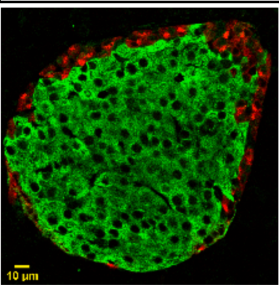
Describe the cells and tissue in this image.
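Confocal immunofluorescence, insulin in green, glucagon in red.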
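A rounded cluster of endocrine cells in a section of pancreas fills most of the field. The core is made of closely packed polygonal cells whose cytoplasm glows green, each with a dark, unstained round nucleus, giving a honeycomb pattern. A thin rim of red-filled cells lies mostly along the edge of the cluster, around the green core.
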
